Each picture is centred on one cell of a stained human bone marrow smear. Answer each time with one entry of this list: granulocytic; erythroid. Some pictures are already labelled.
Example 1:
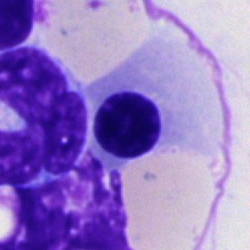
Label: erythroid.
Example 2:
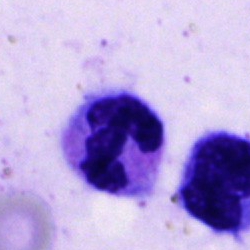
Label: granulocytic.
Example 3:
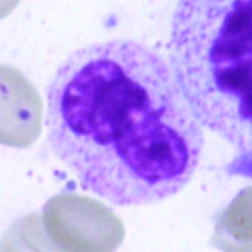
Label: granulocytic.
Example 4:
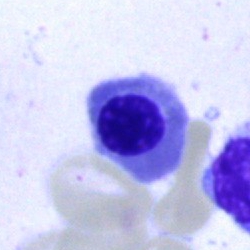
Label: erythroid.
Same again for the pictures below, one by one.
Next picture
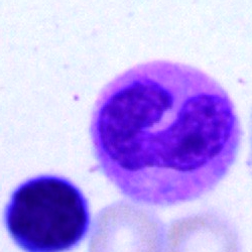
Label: granulocytic.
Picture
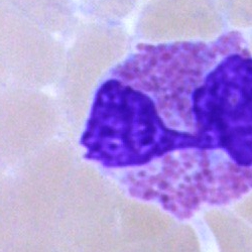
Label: granulocytic.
